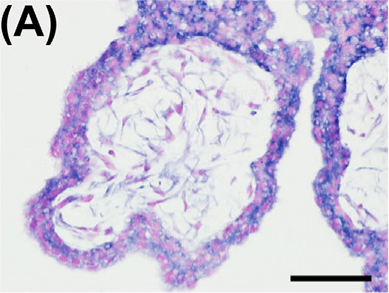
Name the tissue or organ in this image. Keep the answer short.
placental villi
